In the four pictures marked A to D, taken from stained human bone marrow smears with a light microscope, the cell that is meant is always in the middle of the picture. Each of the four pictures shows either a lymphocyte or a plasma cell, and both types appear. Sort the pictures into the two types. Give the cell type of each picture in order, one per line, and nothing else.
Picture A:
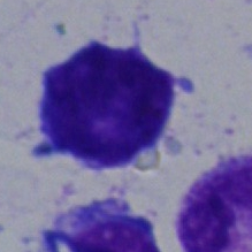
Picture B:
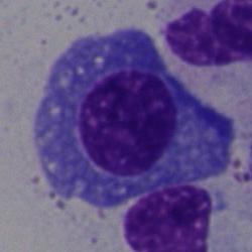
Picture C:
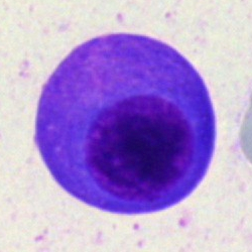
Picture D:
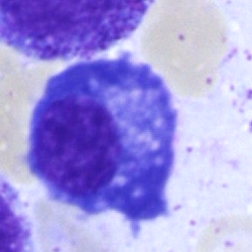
lymphocyte
plasma cell
plasma cell
plasma cell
